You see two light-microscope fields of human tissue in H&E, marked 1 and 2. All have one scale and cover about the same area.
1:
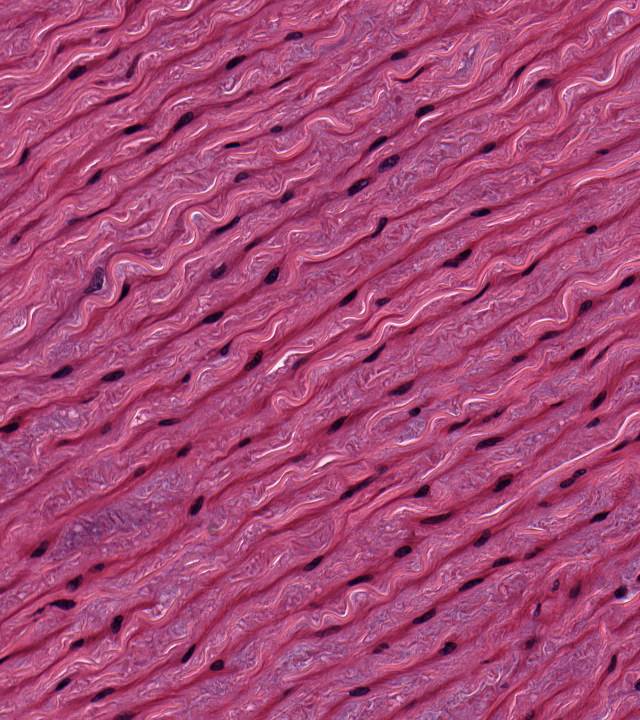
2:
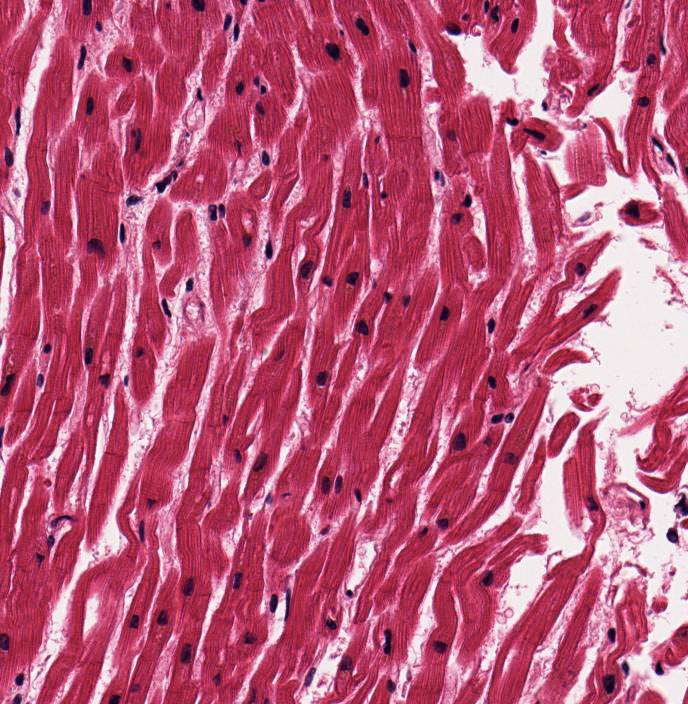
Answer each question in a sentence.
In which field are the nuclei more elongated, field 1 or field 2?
Longer, more slender nuclei lie in field 1.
